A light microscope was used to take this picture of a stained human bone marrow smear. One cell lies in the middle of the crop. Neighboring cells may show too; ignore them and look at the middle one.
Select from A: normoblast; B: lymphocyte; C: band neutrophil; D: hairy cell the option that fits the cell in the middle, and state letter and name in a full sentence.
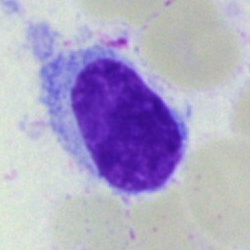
Option D is the right one, for the cell in the middle is a hairy cell.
